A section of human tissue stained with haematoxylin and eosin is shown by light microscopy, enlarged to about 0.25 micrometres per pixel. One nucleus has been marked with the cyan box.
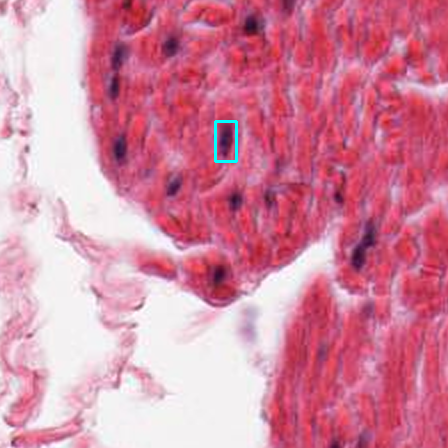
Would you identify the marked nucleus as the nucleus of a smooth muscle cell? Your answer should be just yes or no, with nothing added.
yes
